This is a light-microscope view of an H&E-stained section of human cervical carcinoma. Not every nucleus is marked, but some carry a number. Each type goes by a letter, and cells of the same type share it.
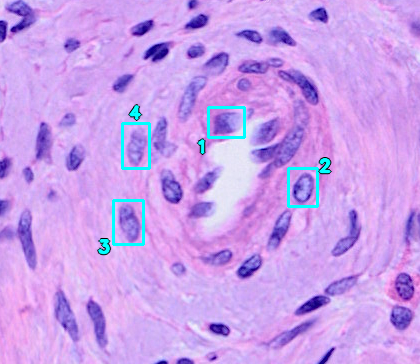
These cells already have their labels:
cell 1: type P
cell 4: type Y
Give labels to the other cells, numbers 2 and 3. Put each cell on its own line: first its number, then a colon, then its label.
2: type Y
3: type Y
